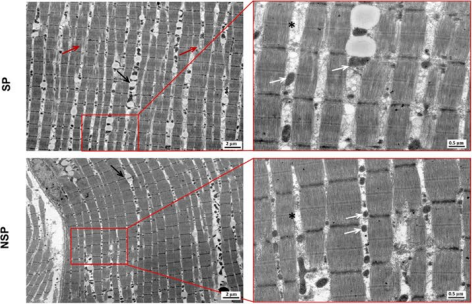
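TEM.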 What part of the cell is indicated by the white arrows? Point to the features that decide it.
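Arrows point to small oval dense bodies between myofibrils. The bodies lie near the dark transverse lines of the sarcomeres. On this evidence: mitochondria.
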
